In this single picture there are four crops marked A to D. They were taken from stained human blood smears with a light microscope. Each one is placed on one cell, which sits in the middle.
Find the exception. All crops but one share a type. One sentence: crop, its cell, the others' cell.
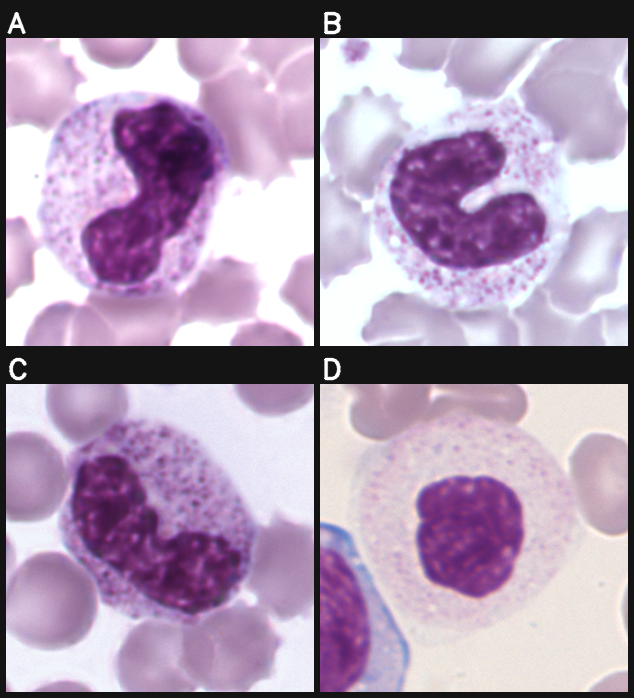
Crop D stands apart from the rest as a segmented neutrophil, the others all being band neutrophils.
